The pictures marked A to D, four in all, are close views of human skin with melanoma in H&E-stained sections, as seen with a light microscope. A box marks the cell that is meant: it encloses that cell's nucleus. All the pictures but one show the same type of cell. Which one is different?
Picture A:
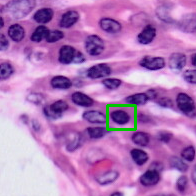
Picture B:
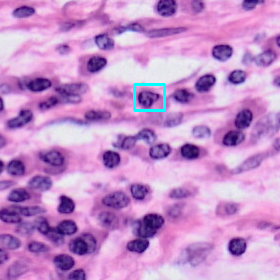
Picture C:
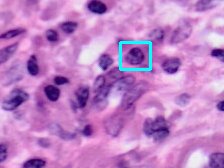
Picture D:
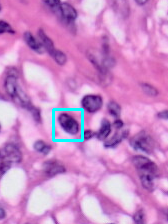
D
